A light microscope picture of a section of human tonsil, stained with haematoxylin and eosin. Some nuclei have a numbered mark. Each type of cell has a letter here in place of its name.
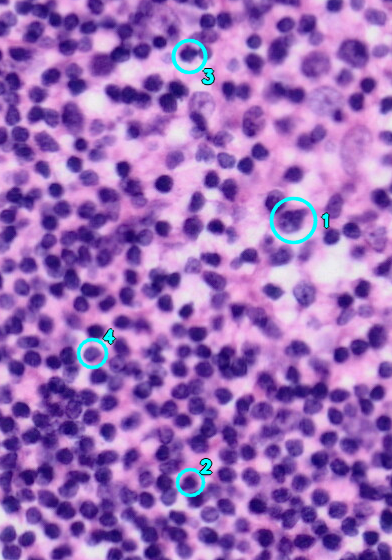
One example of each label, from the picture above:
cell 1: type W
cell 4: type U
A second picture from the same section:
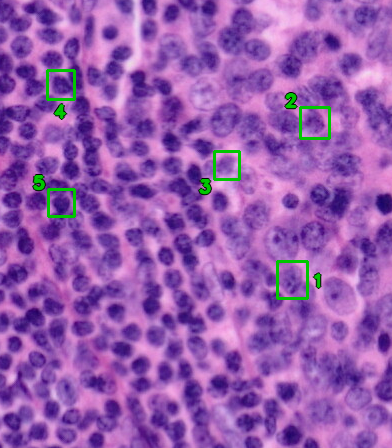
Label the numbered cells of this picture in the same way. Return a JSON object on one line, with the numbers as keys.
{"1": "type W", "2": "type W", "3": "type W", "4": "type U", "5": "type U"}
